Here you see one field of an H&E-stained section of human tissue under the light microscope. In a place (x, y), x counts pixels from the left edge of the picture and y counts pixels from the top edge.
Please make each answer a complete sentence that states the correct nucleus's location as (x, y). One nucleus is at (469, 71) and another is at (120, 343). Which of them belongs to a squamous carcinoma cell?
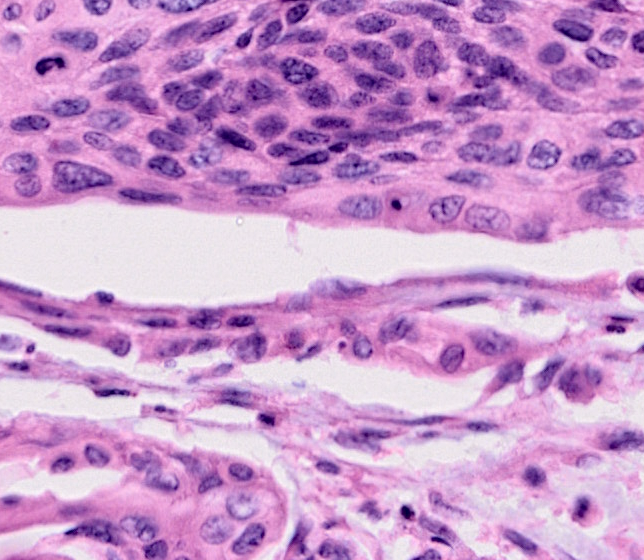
Of the two options, the nucleus at (469, 71) is the one that belongs to a squamous carcinoma cell.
